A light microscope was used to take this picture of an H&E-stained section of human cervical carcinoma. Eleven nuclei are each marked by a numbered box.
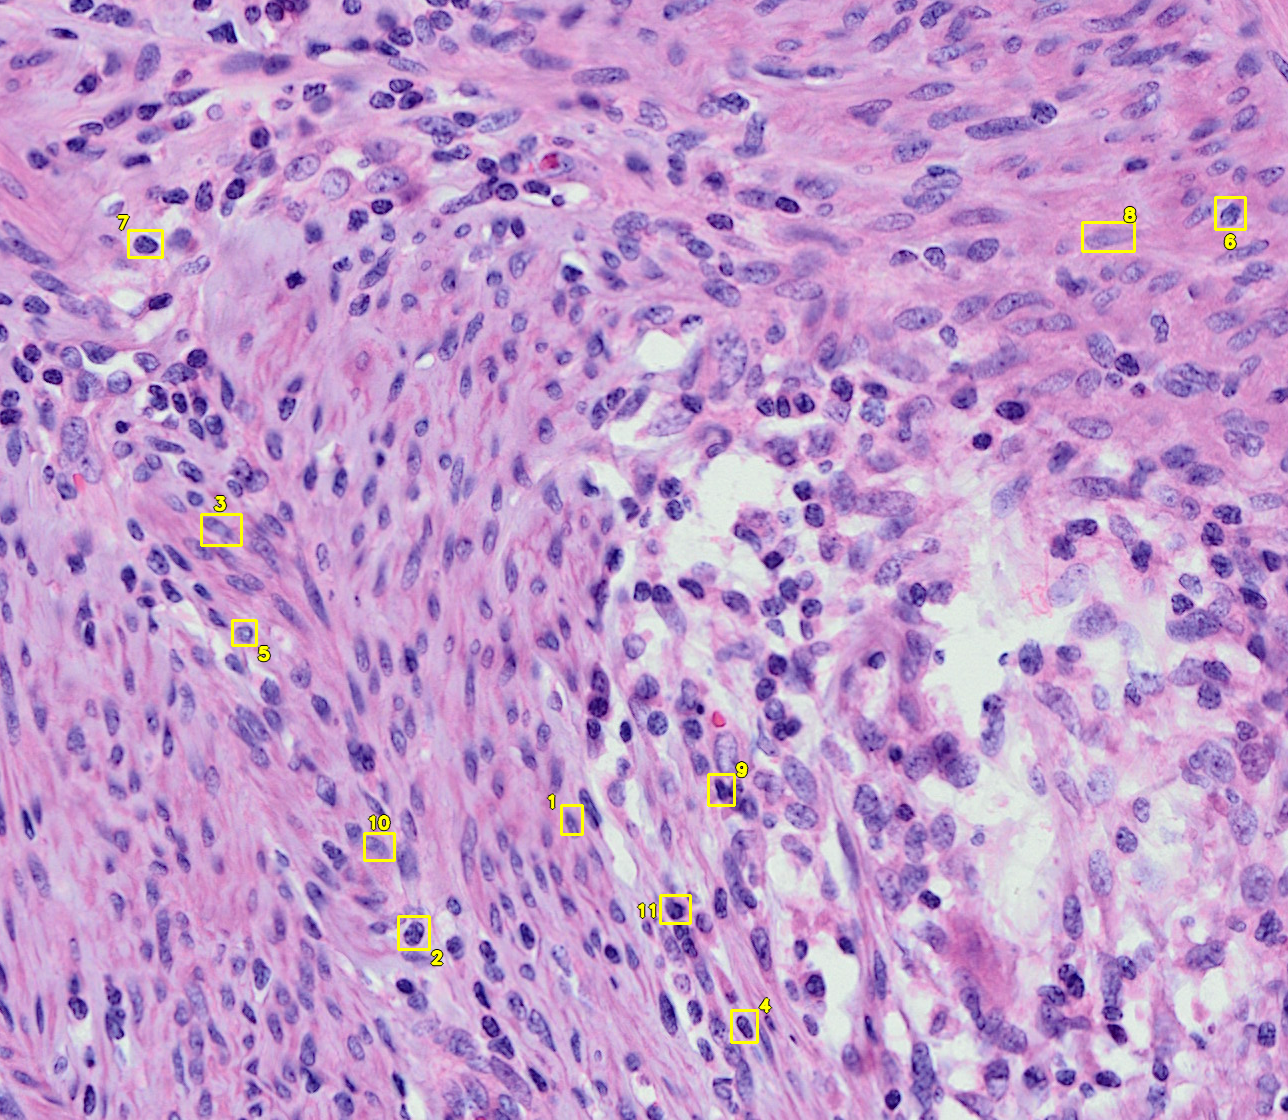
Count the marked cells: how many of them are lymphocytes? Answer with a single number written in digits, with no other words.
6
